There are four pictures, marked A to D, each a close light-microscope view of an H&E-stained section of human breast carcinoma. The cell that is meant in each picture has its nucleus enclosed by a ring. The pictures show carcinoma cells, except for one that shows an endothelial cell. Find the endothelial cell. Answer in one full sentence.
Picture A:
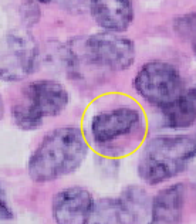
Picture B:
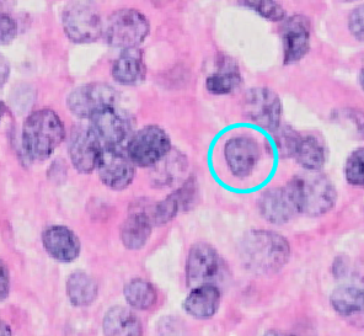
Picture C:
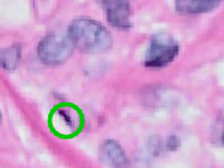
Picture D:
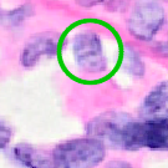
The picture with the endothelial cell is C.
